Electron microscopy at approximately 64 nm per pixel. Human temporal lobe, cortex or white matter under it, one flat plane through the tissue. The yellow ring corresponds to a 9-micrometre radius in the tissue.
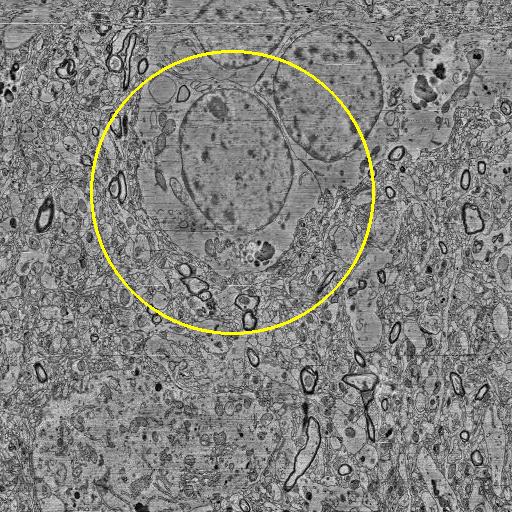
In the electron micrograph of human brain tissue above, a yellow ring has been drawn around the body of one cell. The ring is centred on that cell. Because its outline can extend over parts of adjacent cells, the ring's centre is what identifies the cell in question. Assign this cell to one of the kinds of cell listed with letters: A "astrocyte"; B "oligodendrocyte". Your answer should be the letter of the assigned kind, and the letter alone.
A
